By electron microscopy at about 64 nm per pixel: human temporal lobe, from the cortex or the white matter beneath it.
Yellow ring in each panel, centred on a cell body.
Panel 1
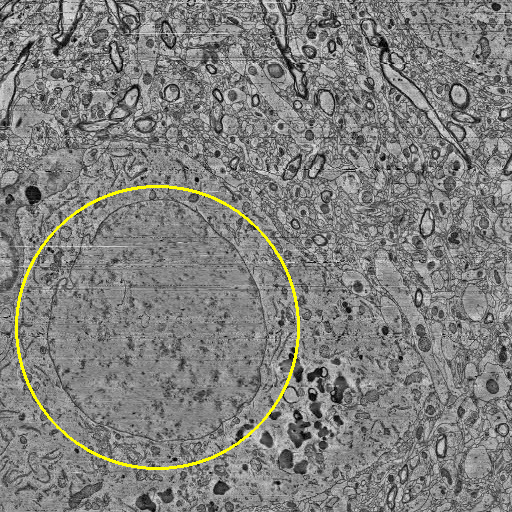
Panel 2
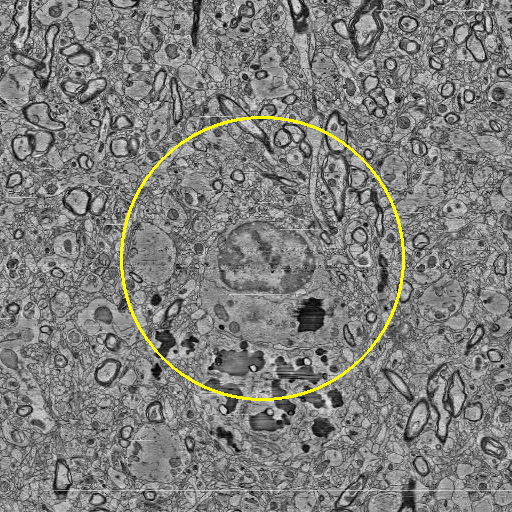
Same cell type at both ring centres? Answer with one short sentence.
No, the two cells are of two types.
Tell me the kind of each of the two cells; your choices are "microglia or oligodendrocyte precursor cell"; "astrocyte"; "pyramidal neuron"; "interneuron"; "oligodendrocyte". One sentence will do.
The ringed cell is a pyramidal neuron in the first picture and an oligodendrocyte in the second picture.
